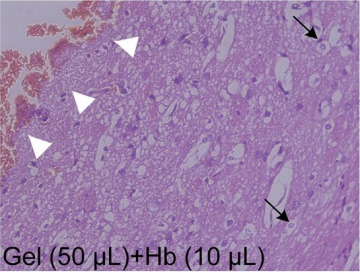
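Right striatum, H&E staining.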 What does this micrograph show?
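This section of brain tissue shows pink, spongy neuropil with scattered purple nuclei and a large collection of red blood cells at the upper left. Several cells elsewhere have dark, shrunken nuclei set within clear spaces. Elongated empty clefts and small vessels are also seen in the neuropil.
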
